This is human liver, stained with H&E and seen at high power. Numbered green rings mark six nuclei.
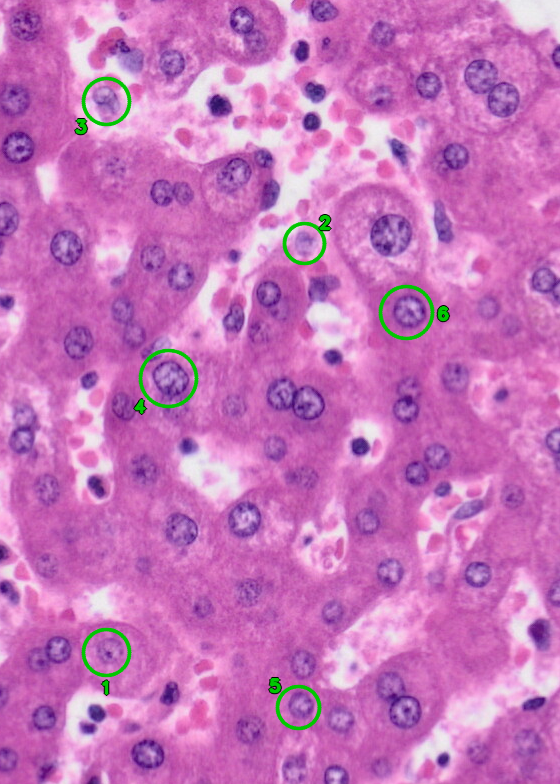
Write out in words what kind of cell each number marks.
Cell 1 is a hepatocyte, cell 2 is a Kupffer cell, cell 3 is a Kupffer cell, cell 4 is a hepatocyte, cell 5 is a hepatocyte and cell 6 is a hepatocyte.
